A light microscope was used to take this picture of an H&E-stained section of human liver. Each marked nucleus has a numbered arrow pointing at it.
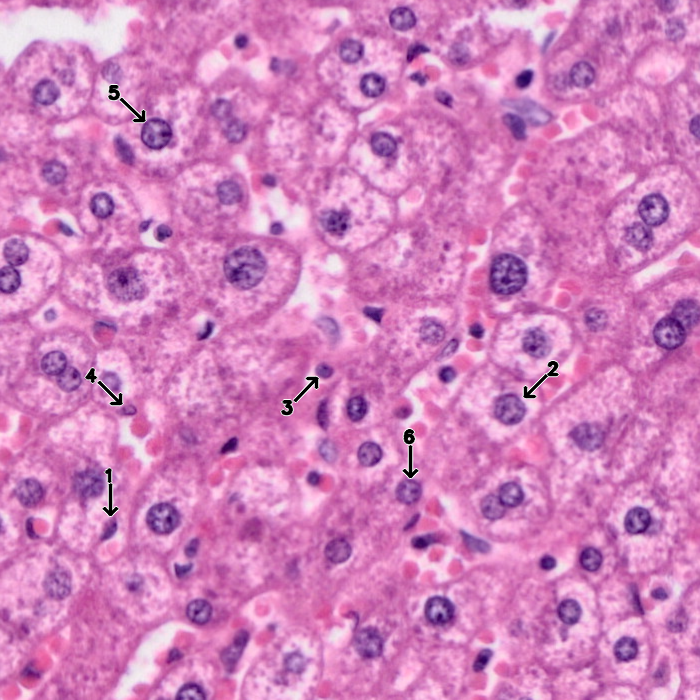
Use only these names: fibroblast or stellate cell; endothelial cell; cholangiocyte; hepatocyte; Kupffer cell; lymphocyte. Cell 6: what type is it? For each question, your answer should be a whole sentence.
Looking at the numbered marks, cell 6 is a hepatocyte.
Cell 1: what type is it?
Regarding cell 1, this one is an endothelial cell.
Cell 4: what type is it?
Belonging to a Kupffer cell is the nucleus that carries the number 4.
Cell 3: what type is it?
The correct answer for cell 3 is a lymphocyte.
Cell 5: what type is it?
The cell marked with the number 5 is a hepatocyte.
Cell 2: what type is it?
The cell that goes by number 2 is a hepatocyte.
